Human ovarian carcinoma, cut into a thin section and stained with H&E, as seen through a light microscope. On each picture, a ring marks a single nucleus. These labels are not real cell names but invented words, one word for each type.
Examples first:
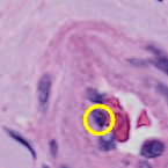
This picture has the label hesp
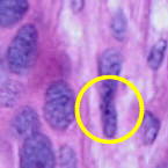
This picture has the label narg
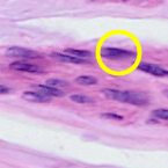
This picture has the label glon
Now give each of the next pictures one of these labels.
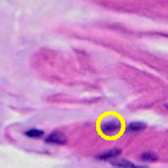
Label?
glon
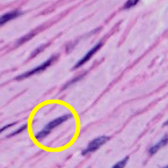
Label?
narg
